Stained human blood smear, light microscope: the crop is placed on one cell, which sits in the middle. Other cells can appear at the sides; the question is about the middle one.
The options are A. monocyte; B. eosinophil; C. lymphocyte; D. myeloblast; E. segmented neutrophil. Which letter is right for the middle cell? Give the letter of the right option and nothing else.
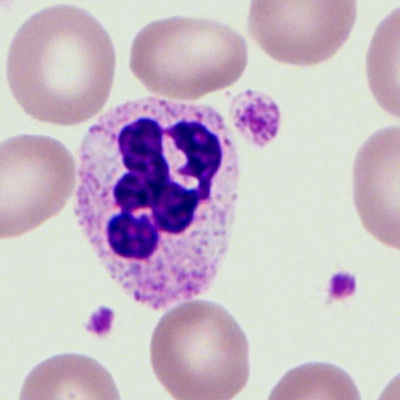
E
